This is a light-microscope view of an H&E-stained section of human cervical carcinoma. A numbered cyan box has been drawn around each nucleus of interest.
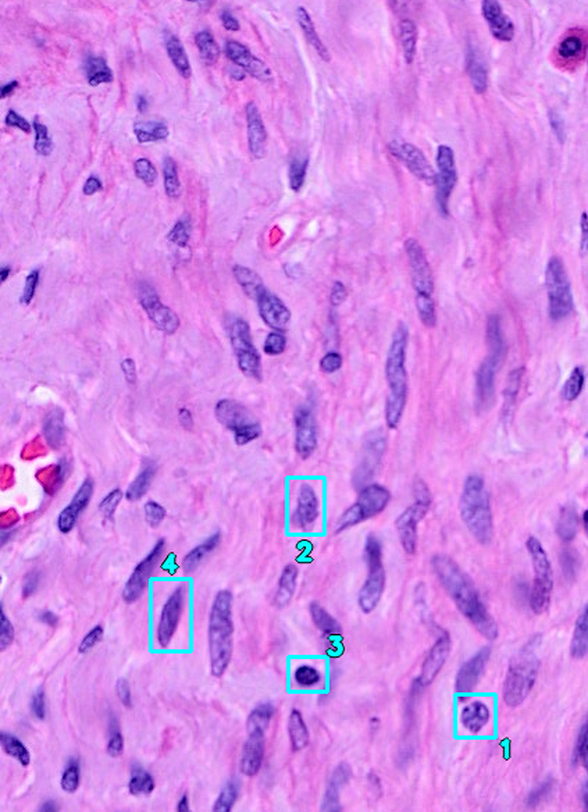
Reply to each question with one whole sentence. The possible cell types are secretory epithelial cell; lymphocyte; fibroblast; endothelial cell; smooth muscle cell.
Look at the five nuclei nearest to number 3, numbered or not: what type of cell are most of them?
Most of the five nuclei nearest to number 3 are those of smooth muscle cells.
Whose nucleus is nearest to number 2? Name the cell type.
Number 2 lies closest to the nucleus of a smooth muscle cell.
